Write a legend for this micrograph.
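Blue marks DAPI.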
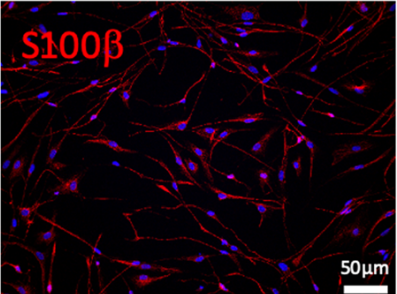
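Most cells are long and slender, drawn out into thin processes at either end, so that many look bipolar and spindle-shaped. The red runs along the whole length of each cell body and its fine processes. Each cell carries one small oval blue nucleus, usually lying in the thickest part of the cell. The processes of neighbouring cells cross and touch one another, forming a loose web over the dark background.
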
